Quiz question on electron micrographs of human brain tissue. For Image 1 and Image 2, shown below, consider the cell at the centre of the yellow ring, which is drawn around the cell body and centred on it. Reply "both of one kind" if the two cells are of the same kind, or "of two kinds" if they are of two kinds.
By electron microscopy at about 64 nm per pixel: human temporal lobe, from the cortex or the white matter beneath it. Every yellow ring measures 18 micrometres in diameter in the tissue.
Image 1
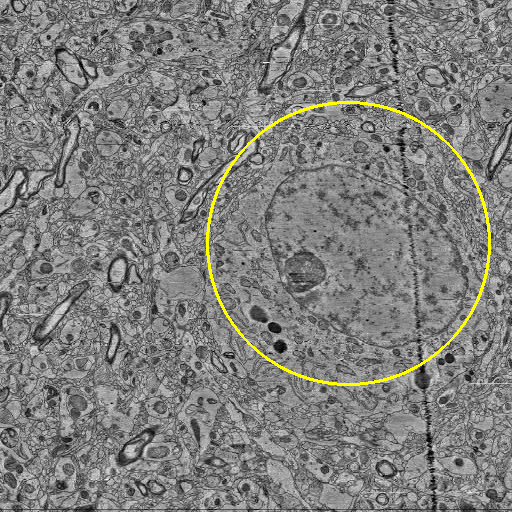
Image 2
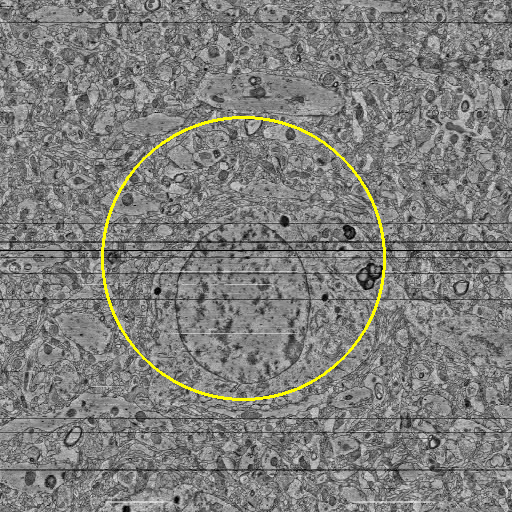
of two kinds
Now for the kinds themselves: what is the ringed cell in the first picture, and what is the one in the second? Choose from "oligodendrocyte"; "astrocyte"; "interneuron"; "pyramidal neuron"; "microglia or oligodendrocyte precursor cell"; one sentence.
Here the first cell is an interneuron and the second cell is a pyramidal neuron.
